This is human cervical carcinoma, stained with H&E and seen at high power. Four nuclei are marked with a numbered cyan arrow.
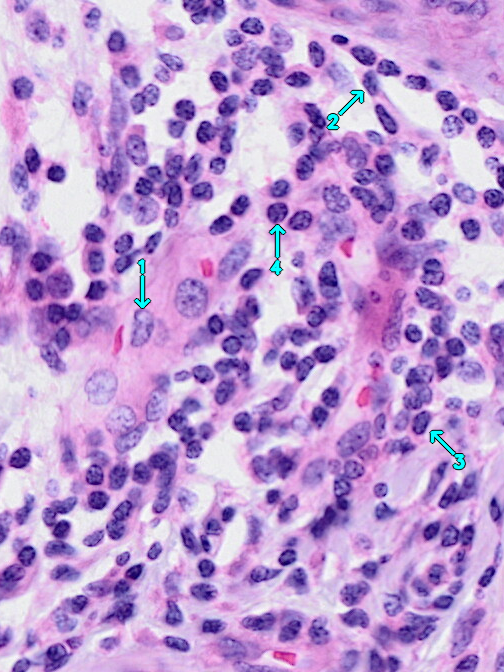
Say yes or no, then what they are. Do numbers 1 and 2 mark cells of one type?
No, cell 1 is an endothelial cell and cell 2 is a lymphocyte.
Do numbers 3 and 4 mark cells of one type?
Yes, both are lymphocytes.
